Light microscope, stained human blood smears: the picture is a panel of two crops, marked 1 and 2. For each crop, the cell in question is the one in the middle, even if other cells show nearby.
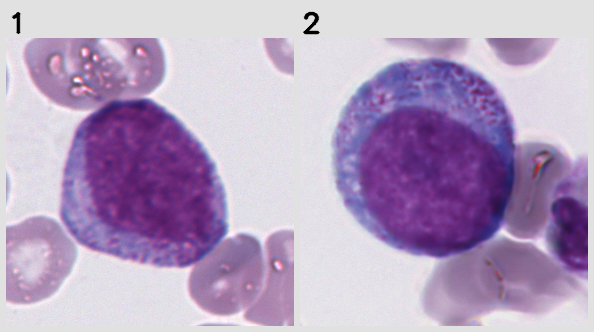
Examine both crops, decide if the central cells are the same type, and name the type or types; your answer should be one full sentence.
Yes, as an answer for this item, both crops show promyelocytes.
